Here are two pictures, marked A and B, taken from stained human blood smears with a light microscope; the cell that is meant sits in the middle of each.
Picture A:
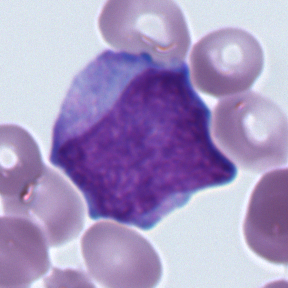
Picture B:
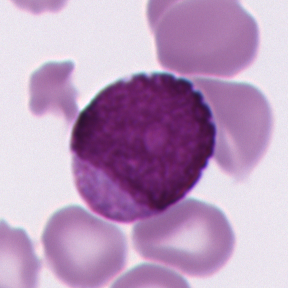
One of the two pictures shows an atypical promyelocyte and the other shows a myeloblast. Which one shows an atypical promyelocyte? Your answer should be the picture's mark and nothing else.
A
